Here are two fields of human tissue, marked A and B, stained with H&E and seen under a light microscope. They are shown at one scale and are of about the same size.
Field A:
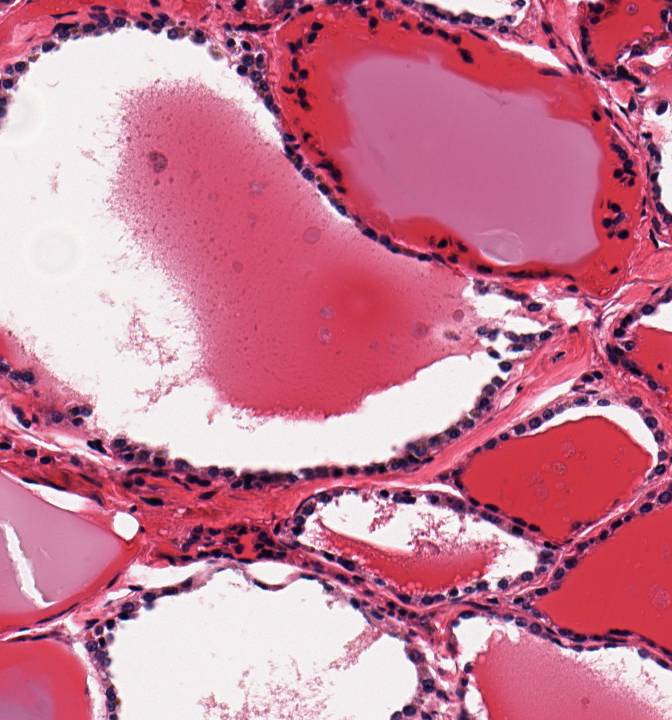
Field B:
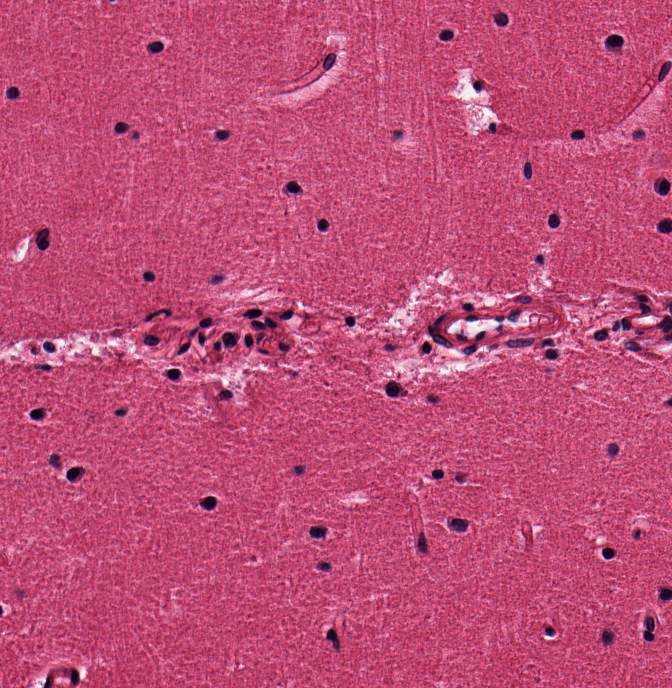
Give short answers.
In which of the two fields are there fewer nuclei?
B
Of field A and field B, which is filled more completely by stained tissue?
B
